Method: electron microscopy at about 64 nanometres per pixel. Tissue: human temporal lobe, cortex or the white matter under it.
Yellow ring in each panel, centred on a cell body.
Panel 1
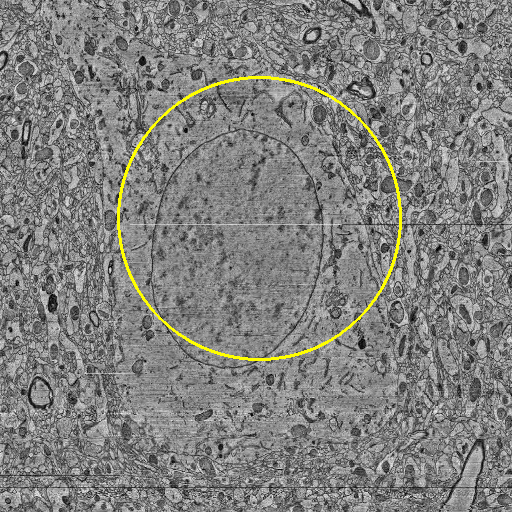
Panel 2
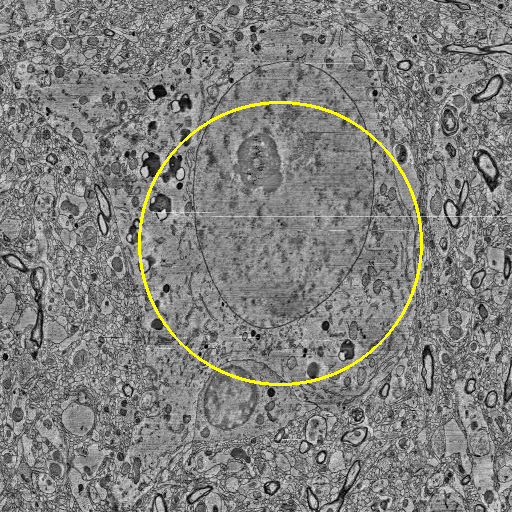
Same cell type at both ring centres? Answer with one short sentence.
Yes, both cells are of the same type.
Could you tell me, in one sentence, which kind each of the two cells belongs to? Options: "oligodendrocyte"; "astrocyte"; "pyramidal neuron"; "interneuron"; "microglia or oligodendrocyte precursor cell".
In each picture the ringed cell is a pyramidal neuron.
